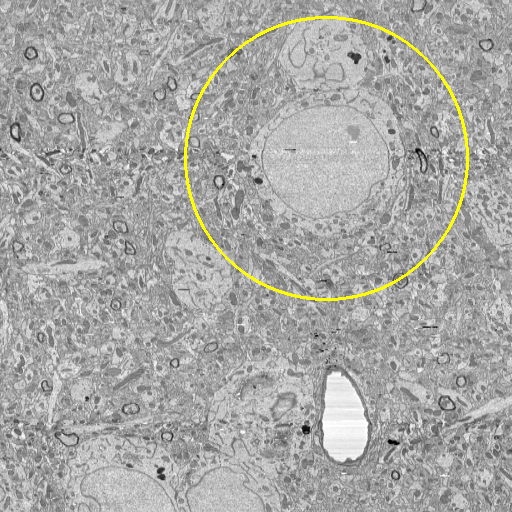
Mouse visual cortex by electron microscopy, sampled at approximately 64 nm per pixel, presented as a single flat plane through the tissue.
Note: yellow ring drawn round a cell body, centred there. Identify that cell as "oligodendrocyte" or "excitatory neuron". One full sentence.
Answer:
The cell in the middle of the ring is an excitatory neuron.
